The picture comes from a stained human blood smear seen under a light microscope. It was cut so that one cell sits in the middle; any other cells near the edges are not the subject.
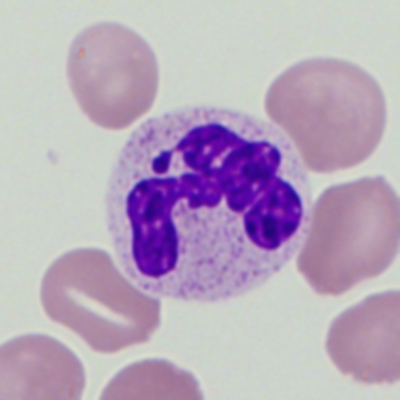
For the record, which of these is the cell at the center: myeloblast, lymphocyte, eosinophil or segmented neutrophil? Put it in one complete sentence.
This crop's central cell is a segmented neutrophil.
